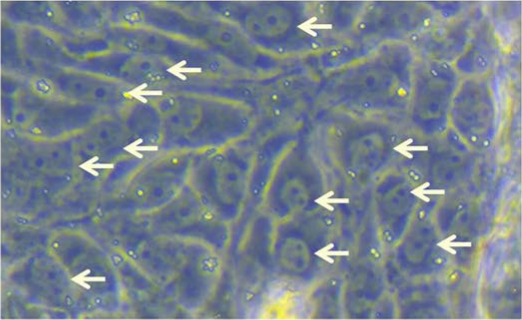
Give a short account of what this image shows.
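An unstained culture of tightly packed polygonal epithelial cells forming a continuous sheet. Each cell has one or two round, pale nuclei with distinct nucleoli, and several cells are binucleated. Bright, refractile lines run along the borders between the cells.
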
